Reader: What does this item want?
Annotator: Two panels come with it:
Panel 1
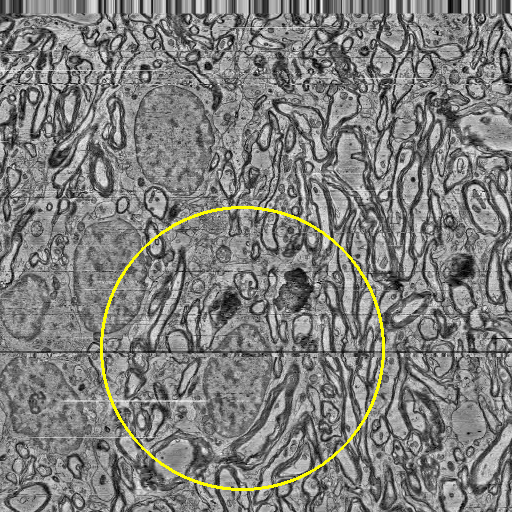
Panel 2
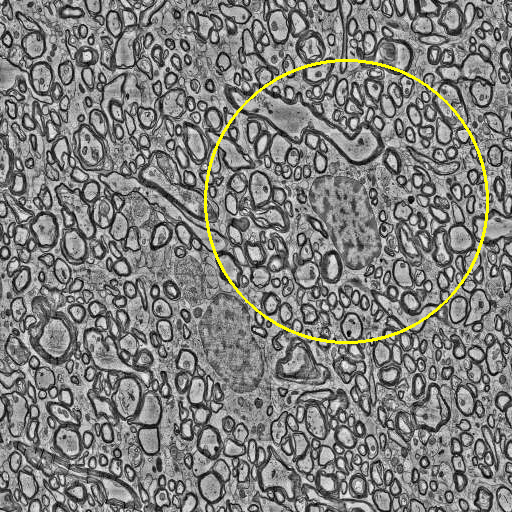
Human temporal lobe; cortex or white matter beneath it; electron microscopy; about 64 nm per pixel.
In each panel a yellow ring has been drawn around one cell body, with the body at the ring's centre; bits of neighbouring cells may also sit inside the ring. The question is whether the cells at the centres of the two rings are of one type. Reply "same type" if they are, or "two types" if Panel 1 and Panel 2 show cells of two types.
two types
